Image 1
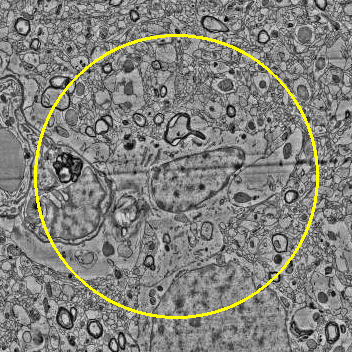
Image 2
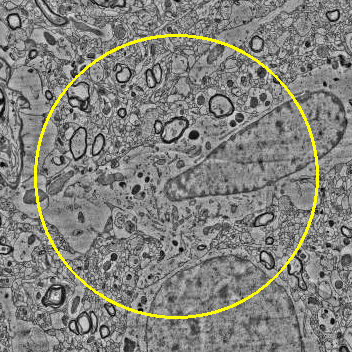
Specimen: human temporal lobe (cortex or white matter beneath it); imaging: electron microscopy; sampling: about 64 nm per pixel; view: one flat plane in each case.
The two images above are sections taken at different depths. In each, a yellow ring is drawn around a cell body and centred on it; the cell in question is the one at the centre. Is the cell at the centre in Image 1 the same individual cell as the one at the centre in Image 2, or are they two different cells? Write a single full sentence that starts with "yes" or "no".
Yes, the second ring marks the same cell as the first.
